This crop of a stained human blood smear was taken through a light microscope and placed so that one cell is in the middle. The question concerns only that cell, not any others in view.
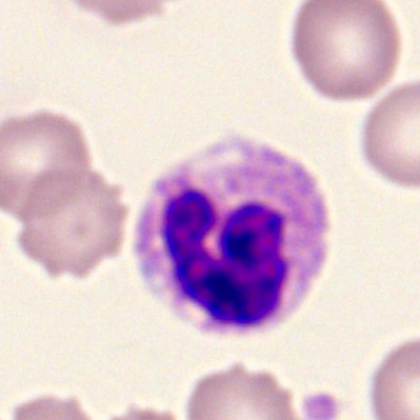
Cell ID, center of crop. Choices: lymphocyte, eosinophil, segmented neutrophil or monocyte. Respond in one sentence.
In this smear crop, the middle cell is a segmented neutrophil.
